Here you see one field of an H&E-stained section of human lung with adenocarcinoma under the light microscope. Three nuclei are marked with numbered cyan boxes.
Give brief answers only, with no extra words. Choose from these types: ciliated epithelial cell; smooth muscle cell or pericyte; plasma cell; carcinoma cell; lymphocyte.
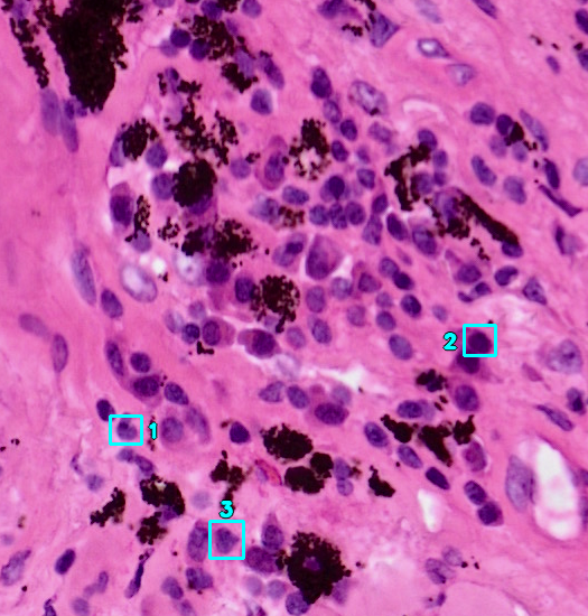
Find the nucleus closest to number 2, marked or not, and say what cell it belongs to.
plasma cell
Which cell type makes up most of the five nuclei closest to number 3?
plasma cell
